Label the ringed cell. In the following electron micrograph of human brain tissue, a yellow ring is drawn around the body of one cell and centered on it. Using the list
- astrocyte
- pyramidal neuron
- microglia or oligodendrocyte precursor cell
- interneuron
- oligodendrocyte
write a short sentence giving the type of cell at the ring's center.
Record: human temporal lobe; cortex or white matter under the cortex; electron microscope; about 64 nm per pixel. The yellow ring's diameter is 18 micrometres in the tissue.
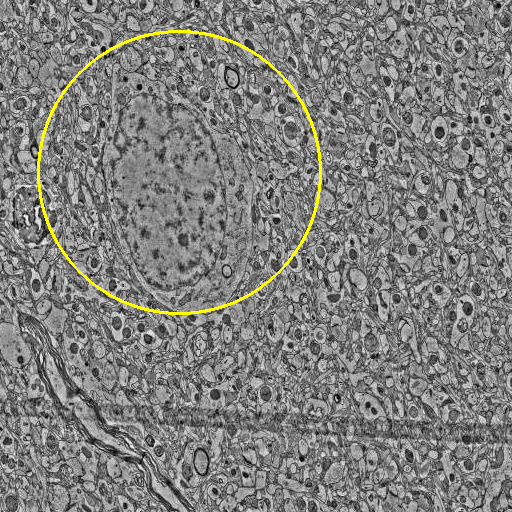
The cell body at the ring's center is that of an interneuron.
